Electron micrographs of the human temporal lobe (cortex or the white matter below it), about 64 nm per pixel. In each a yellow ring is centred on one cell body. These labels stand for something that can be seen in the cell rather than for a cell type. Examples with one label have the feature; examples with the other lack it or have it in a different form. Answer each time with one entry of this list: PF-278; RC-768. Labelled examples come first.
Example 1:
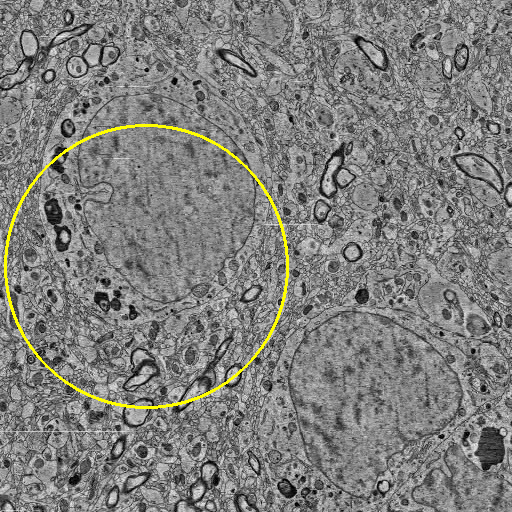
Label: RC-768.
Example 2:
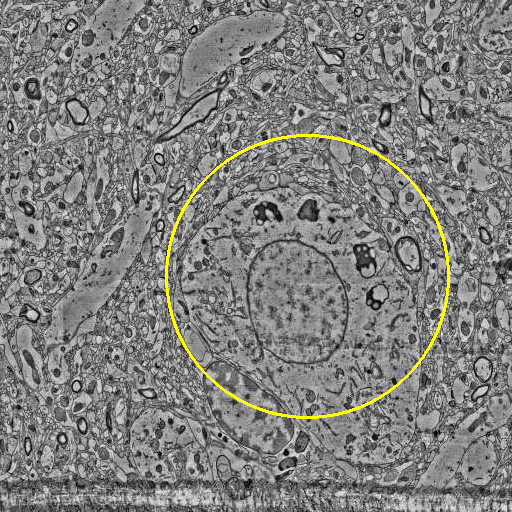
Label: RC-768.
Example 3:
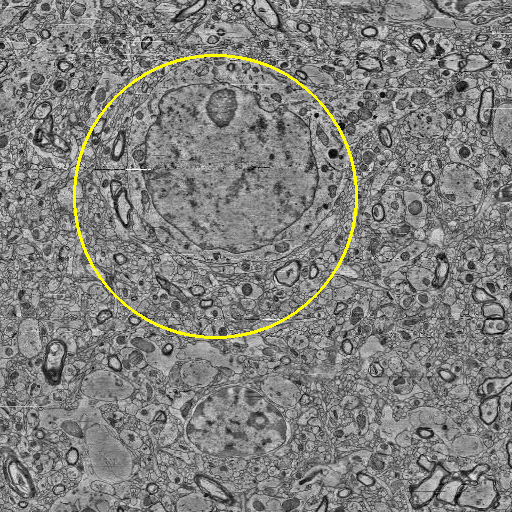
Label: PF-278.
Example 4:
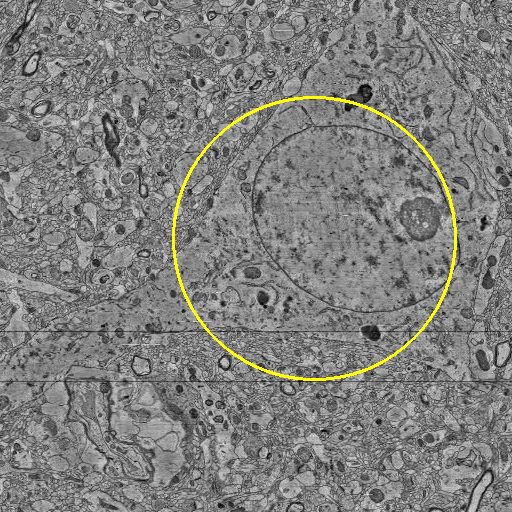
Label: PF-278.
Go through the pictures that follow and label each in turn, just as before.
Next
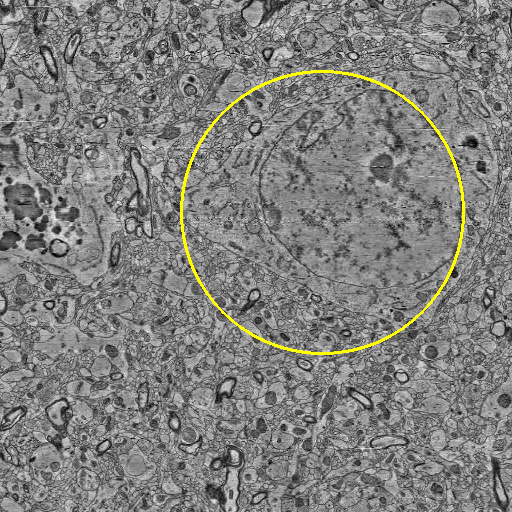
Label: PF-278.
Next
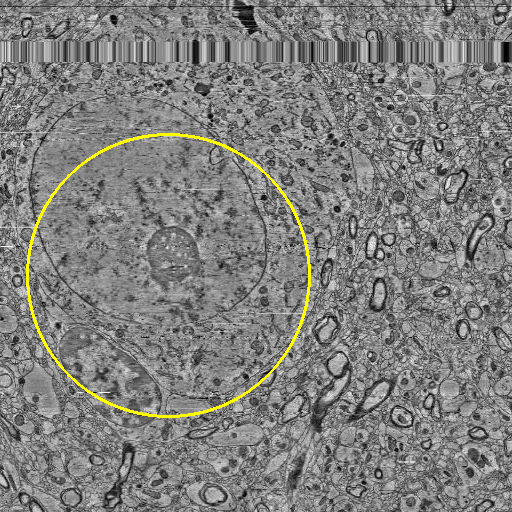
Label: PF-278.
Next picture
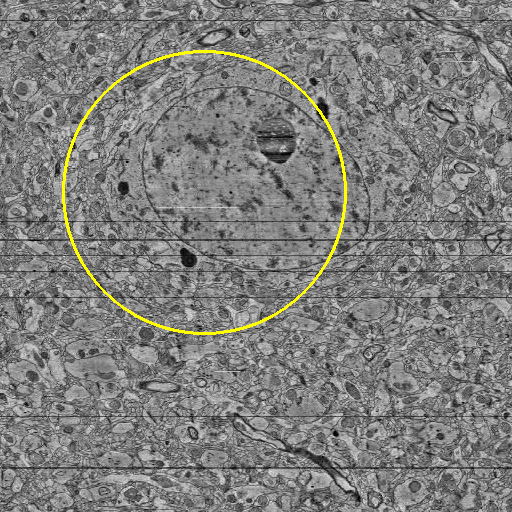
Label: PF-278.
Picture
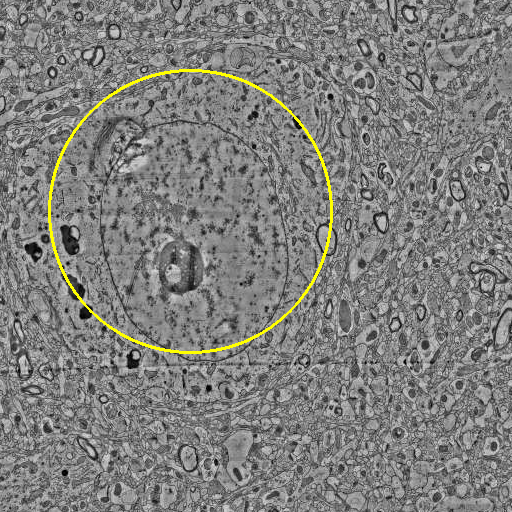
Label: PF-278.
